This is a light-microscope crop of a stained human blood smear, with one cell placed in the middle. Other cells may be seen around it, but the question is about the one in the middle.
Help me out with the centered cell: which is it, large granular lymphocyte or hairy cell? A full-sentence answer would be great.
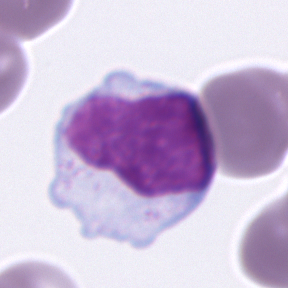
This crop is built around a large granular lymphocyte at its centre.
